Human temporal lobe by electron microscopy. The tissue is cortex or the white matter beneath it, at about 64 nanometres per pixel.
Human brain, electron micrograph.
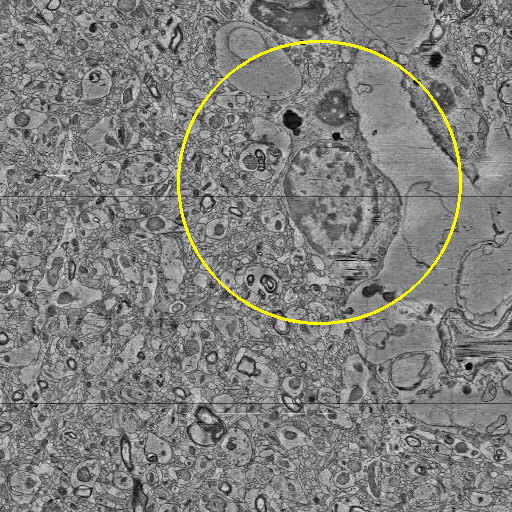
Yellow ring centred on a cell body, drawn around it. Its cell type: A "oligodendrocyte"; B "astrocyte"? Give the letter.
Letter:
A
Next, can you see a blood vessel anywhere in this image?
Yes.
